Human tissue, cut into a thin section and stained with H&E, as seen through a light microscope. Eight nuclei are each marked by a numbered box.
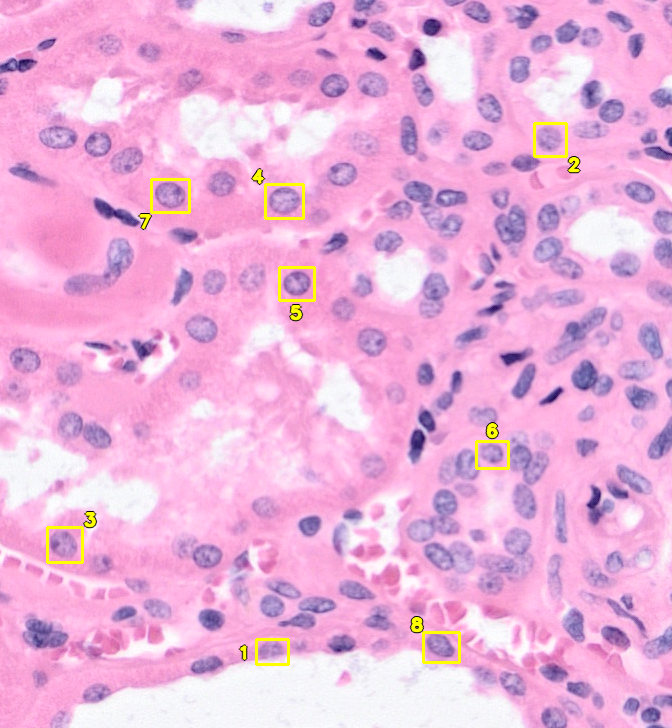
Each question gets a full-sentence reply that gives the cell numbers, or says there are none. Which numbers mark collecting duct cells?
The cells numbered 2 and 6 are typed as collecting duct cells.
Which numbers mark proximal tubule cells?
The cells numbered 3, 4, 5 and 7 fall into the category of proximal tubule cells.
